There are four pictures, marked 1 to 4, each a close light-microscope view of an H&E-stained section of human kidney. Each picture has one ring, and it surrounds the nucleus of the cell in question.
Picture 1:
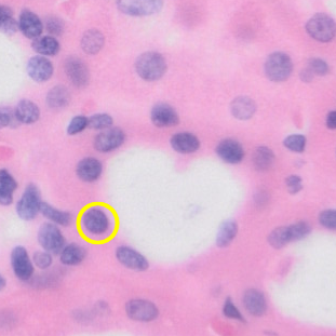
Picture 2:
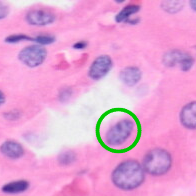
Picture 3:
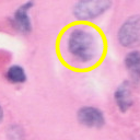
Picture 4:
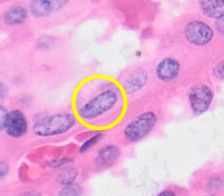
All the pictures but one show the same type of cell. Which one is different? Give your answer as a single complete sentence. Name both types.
Picture 4 differs, because its cell is a collecting duct cell and the rest are “loop of Henle or distal tubule cells”.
